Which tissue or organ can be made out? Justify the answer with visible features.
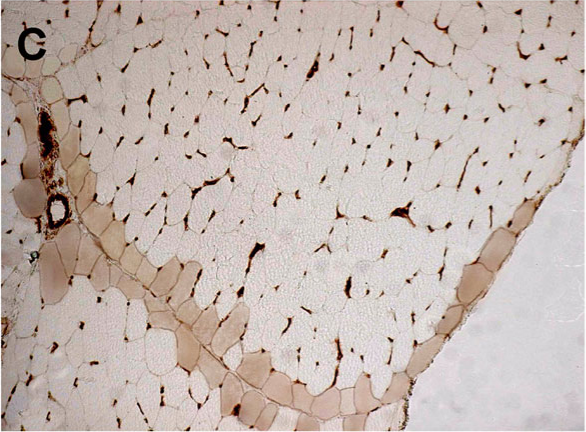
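Polygonal fibres cut in cross-section are packed into a fascicle. Thin connective tissue septa with small vessels run between fascicles. That points to this answer: muscle.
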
